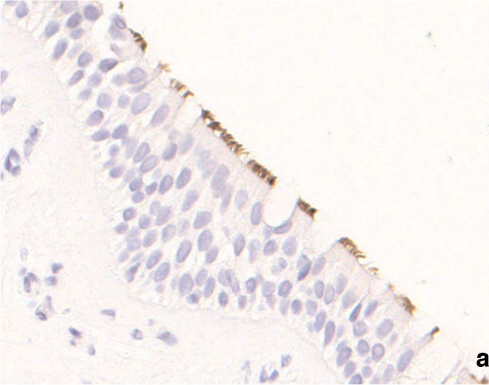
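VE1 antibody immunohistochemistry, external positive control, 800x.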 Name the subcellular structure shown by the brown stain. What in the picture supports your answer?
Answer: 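A dark brown fringe runs along the free luminal surface of the epithelium. The brown fringe is made of fine hair-like projections from the apical cell borders. The nuclei below are blue and unstained. On this evidence: Respiratory cilia.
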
